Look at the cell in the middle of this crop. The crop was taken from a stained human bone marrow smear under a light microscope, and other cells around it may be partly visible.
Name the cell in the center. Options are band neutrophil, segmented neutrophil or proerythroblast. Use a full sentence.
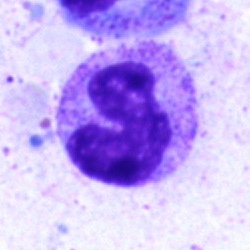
The identification for the central cell is a band neutrophil.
